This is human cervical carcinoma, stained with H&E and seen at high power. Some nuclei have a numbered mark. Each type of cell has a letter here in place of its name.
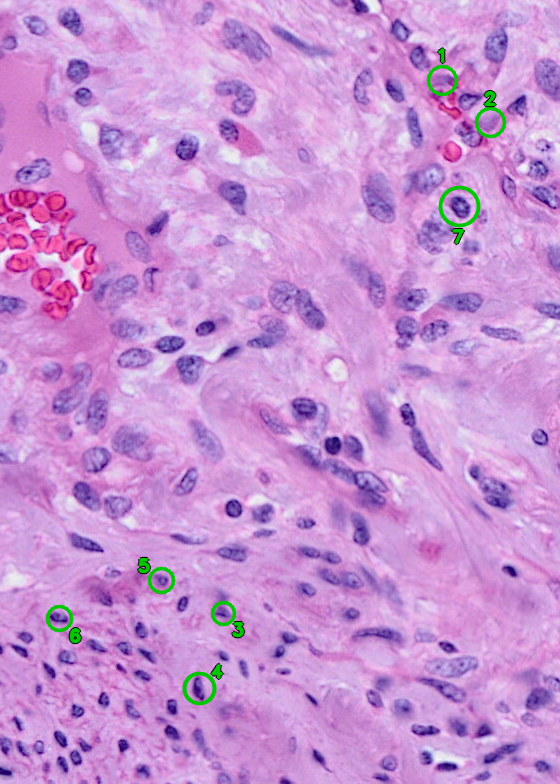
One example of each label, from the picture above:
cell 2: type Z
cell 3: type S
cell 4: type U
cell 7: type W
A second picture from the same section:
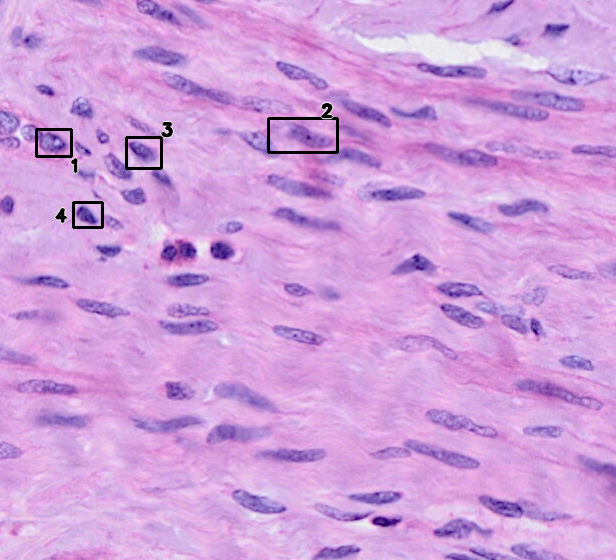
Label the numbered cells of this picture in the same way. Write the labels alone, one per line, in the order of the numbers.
type Z
type S
type U
type U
